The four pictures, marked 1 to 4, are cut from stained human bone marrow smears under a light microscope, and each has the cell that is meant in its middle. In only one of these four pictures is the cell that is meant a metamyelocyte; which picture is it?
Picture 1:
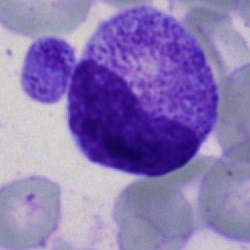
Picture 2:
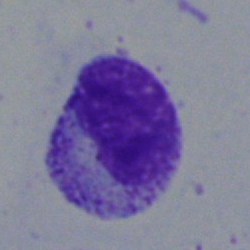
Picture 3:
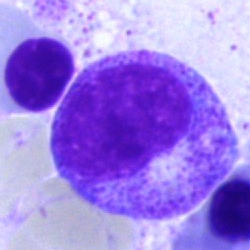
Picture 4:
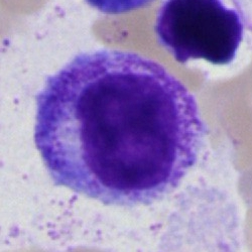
1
